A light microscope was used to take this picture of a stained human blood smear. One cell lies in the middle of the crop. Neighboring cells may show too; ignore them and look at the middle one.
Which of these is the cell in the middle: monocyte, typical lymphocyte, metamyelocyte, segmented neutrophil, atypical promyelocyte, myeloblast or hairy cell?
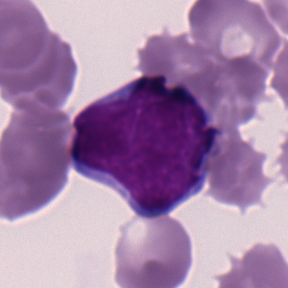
myeloblast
